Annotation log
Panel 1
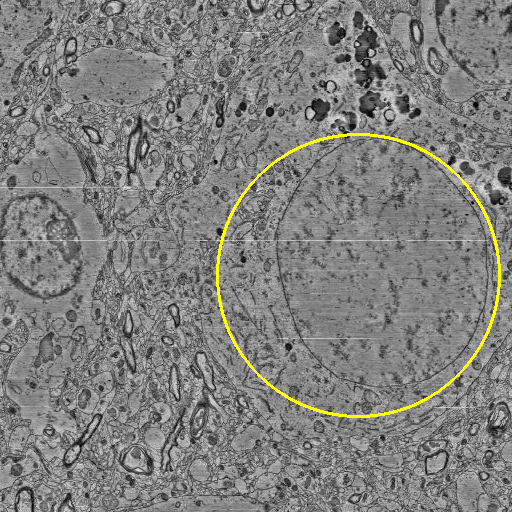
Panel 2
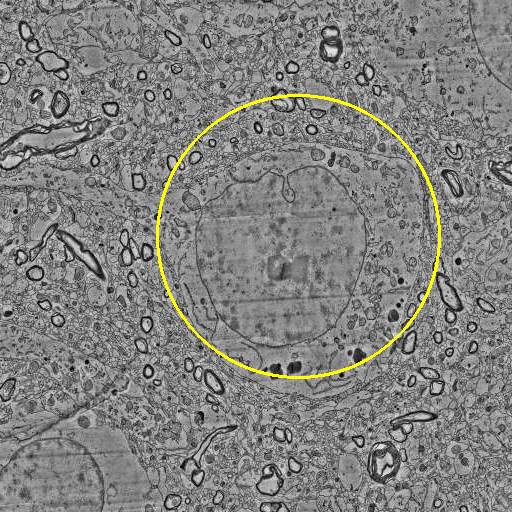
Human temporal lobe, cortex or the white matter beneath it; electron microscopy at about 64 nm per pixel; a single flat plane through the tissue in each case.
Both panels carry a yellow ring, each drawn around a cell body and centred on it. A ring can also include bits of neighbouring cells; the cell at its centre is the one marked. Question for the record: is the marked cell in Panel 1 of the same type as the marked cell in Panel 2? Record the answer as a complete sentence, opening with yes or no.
Yes, the marked cells in Panel 1 and Panel 2 are of the same type.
